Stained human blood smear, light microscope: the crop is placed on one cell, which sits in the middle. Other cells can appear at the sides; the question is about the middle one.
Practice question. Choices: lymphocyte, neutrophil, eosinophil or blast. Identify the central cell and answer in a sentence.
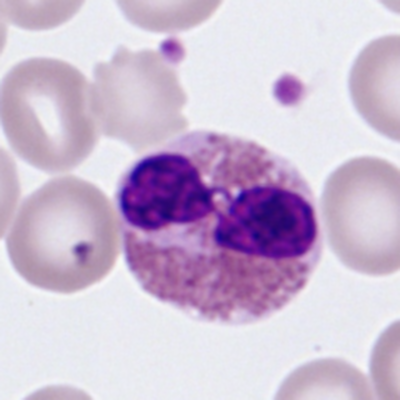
The central cell shown in this smear crop is an eosinophil.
